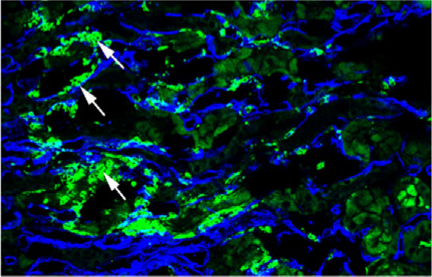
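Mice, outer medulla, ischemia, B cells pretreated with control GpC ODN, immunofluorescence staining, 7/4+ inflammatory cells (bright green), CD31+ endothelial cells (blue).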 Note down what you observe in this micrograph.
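In this kidney section, blue lines trace the narrow spaces between tubules, but in places they are broken, thickened or clumped rather than forming even thin outlines. Dense clusters of small, intensely green cells lie between and around the tubules, while the tubule epithelium shows only a dull green background.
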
